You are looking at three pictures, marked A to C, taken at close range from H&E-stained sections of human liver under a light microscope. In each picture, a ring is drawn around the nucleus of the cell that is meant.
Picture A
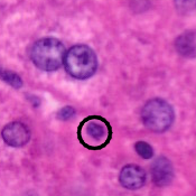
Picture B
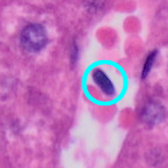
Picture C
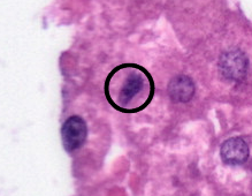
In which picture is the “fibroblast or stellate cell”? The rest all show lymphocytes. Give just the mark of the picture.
C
